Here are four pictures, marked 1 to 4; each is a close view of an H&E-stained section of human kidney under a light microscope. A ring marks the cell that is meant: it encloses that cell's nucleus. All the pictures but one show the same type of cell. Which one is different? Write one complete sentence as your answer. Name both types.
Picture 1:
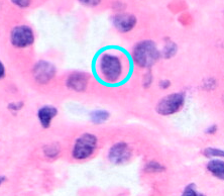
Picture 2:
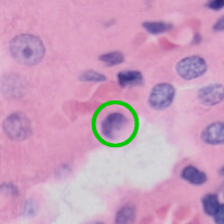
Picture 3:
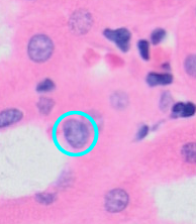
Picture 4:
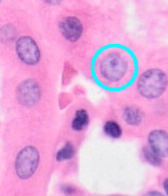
The others show “loop of Henle or distal tubule cells”, but picture 4 shows a proximal tubule cell.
